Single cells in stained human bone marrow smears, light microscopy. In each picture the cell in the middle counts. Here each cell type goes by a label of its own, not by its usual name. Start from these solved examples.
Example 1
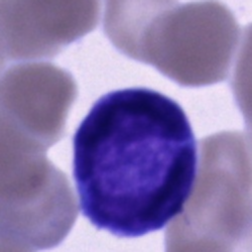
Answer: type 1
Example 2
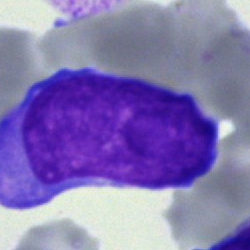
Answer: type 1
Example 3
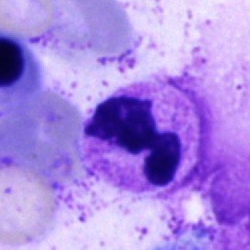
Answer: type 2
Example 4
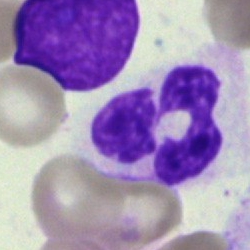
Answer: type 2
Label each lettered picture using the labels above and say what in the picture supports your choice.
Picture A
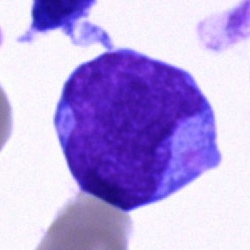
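type 1. Evidence: The nucleus fills most of the cell.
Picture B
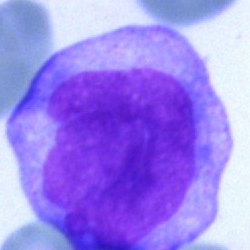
type 1. Evidence: The chromatin is finely textured and evenly spread rather than coarsely clumped.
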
